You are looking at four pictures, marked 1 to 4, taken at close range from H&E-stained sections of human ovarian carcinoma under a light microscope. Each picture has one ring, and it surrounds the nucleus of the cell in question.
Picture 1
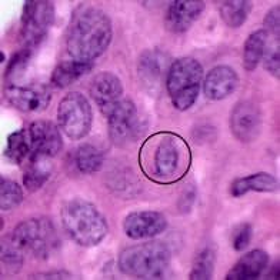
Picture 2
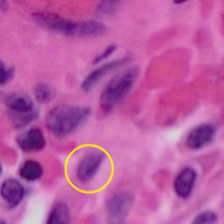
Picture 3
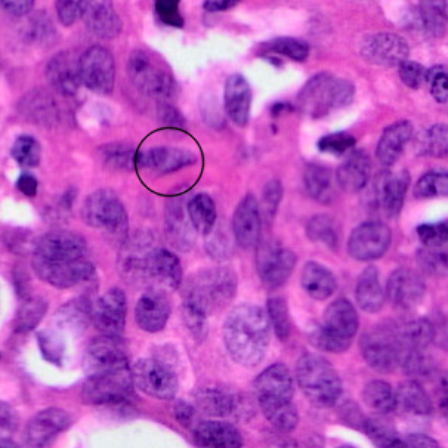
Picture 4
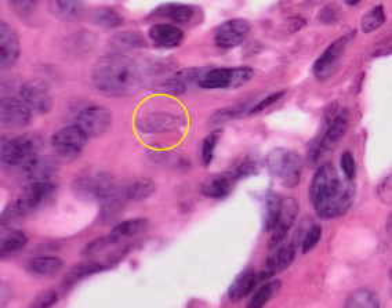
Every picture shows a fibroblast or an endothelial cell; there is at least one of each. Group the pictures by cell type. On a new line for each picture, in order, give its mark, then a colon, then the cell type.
1: endothelial cell
2: fibroblast
3: endothelial cell
4: endothelial cell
